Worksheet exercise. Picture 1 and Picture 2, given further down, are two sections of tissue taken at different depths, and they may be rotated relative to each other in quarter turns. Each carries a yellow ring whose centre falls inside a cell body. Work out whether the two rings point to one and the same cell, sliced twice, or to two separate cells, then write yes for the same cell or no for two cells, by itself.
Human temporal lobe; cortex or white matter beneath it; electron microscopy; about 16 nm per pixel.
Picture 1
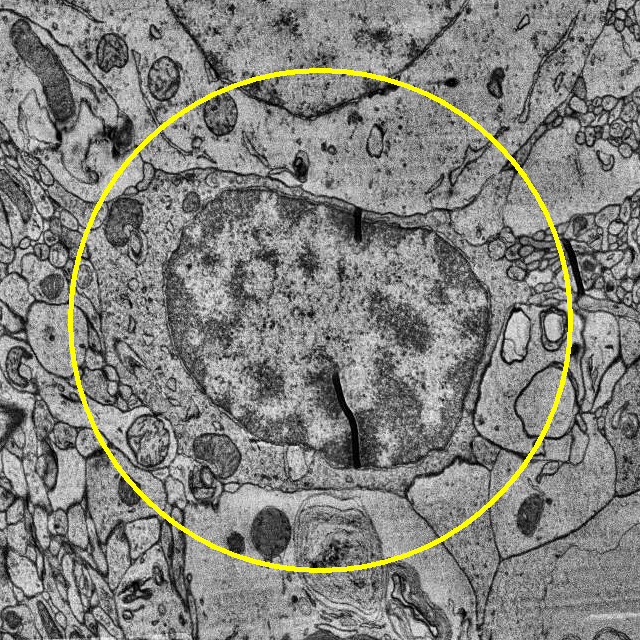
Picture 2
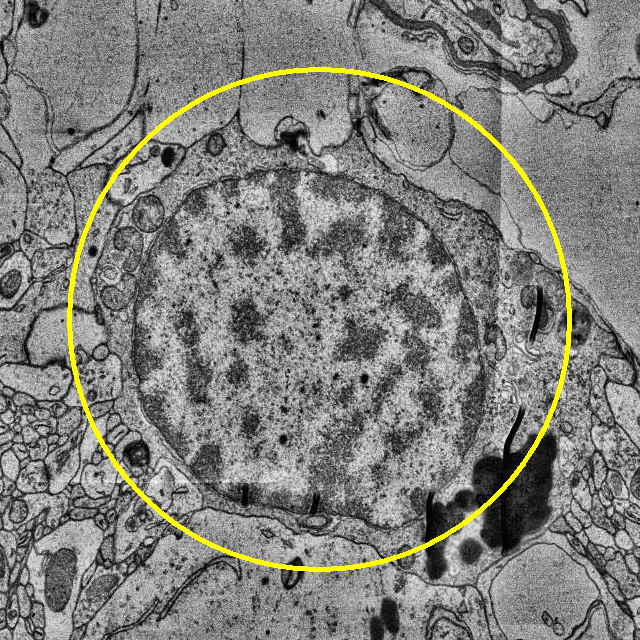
yes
